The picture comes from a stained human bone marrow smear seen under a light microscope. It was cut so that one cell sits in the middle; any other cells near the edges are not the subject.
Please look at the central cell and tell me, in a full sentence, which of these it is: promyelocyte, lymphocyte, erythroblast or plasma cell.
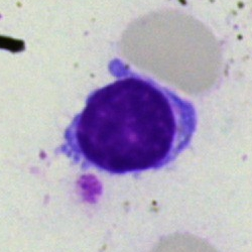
Framed in the middle of the crop is a lymphocyte.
